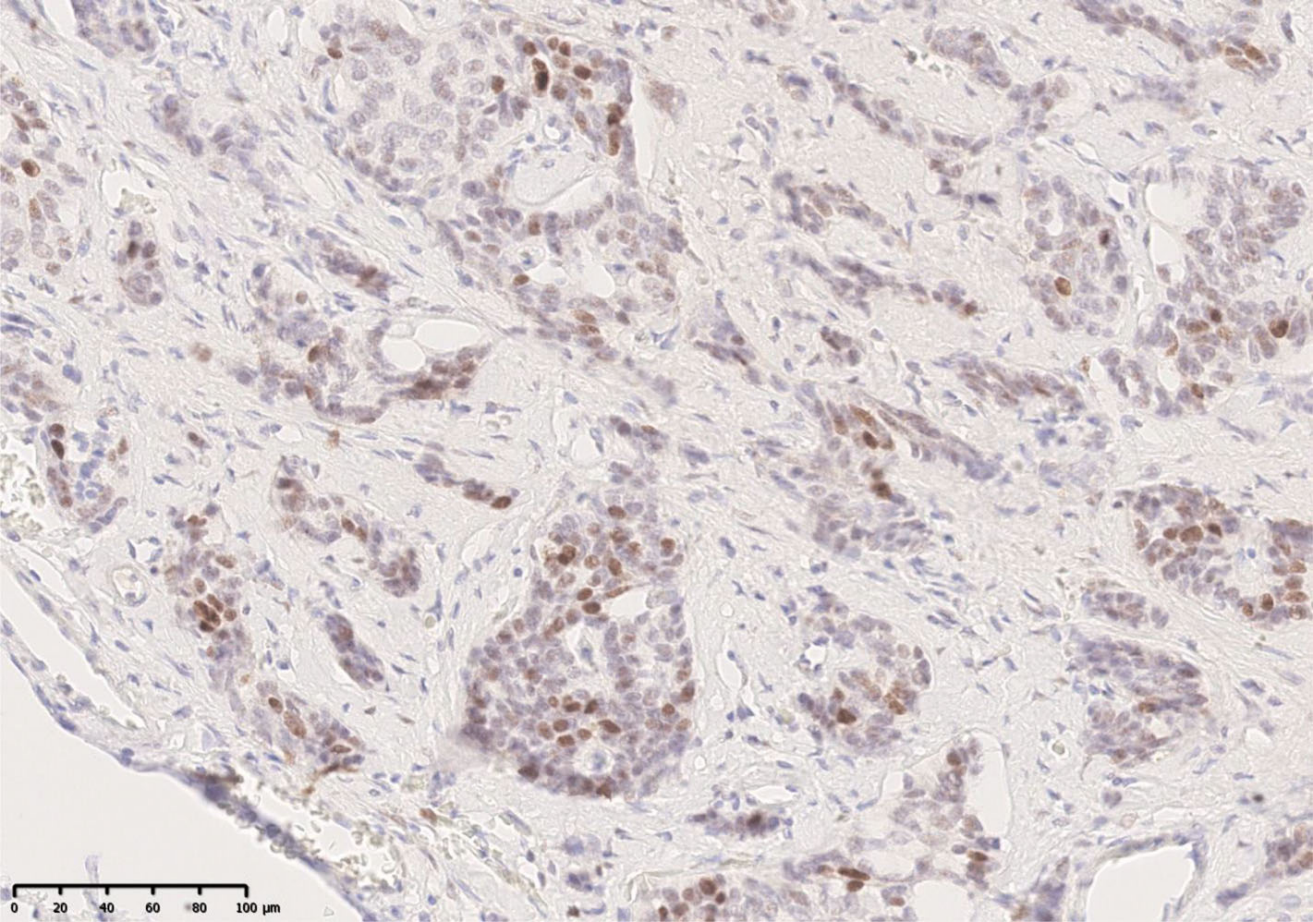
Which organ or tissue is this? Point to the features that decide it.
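Nests, cords and small glands of crowded epithelial cells. The epithelial groups lie scattered in a pale fibrous stroma with spindle cells. Nuclei in the nests are crowded and somewhat variable.
Answer: carcinoma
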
